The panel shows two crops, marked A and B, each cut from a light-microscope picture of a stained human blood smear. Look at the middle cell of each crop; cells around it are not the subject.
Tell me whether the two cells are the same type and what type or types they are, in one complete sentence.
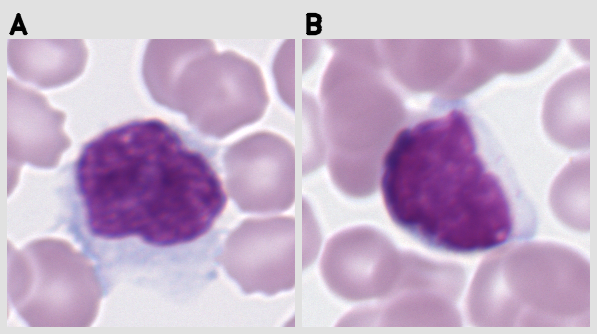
No, at the centre of crop A is a hairy cell, and at the centre of crop B is a large granular lymphocyte.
